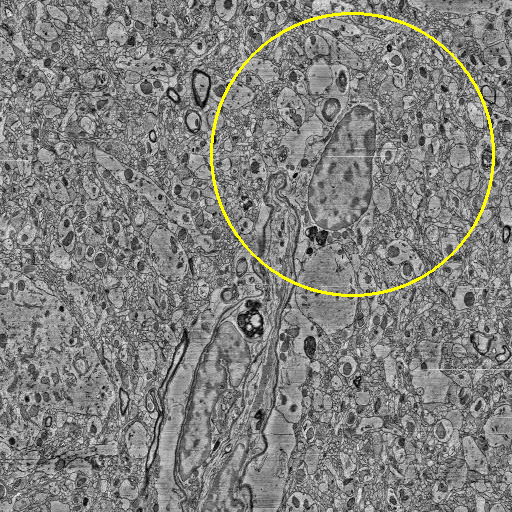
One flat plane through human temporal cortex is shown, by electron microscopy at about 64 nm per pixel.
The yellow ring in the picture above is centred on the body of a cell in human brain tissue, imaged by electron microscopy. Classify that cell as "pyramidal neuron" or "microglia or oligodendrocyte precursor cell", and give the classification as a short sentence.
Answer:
The cell in the middle of the ring is a microglial cell or oligodendrocyte precursor cell.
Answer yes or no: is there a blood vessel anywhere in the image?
Yes.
